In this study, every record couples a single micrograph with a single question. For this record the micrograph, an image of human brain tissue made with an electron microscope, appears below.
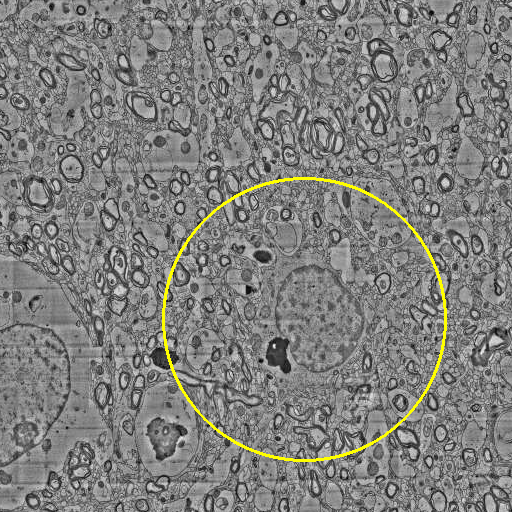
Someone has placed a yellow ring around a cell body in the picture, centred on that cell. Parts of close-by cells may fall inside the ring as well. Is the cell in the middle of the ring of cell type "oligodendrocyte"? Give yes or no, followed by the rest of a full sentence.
Yes, the cell centred in the ring shown in the picture does have that cell type.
